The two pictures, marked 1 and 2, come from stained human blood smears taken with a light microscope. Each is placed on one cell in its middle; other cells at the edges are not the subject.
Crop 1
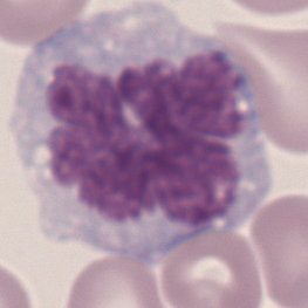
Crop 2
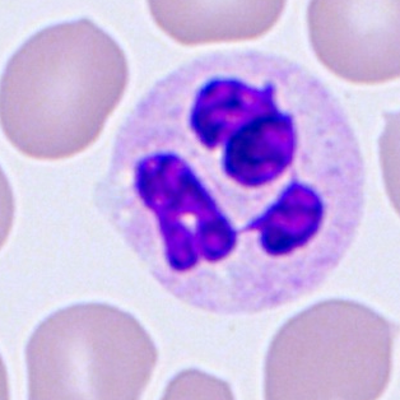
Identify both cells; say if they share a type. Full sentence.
No, it is crop 1 that shows a monocyte, and crop 2 that shows a neutrophil.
